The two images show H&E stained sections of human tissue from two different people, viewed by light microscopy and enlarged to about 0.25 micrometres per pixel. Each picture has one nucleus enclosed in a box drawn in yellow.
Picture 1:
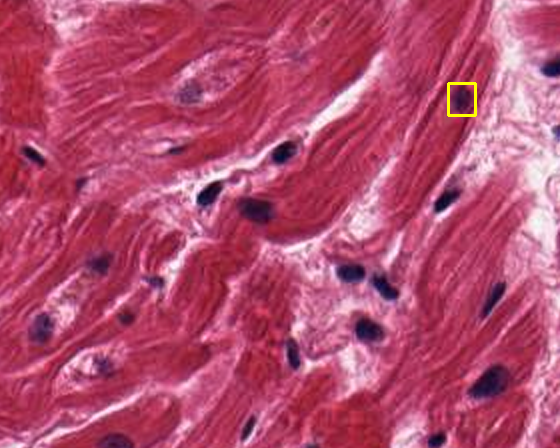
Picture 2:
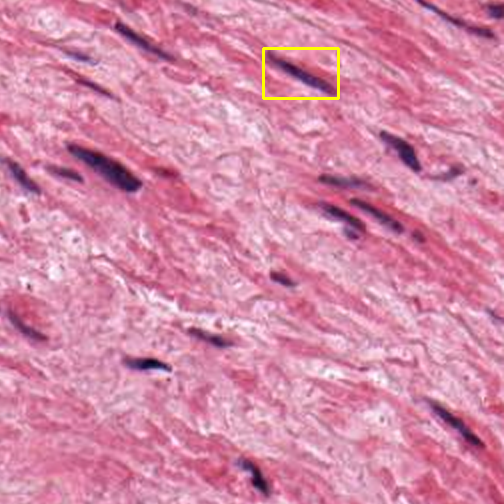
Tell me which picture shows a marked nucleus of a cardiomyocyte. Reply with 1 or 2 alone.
1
